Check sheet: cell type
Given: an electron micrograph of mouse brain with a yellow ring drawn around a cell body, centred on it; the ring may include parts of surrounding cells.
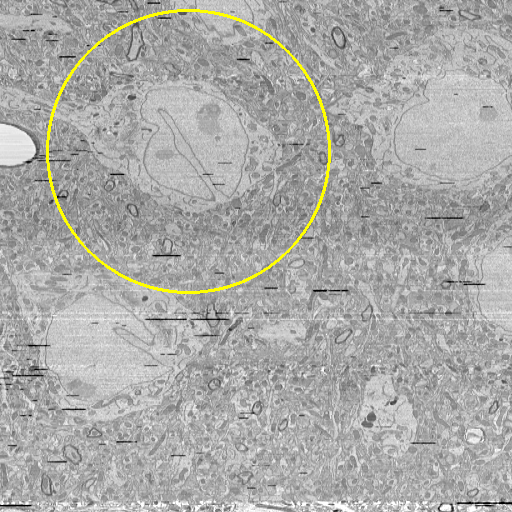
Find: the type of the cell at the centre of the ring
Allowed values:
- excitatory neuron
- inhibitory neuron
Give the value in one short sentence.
Here the ringed cell is an excitatory neuron.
